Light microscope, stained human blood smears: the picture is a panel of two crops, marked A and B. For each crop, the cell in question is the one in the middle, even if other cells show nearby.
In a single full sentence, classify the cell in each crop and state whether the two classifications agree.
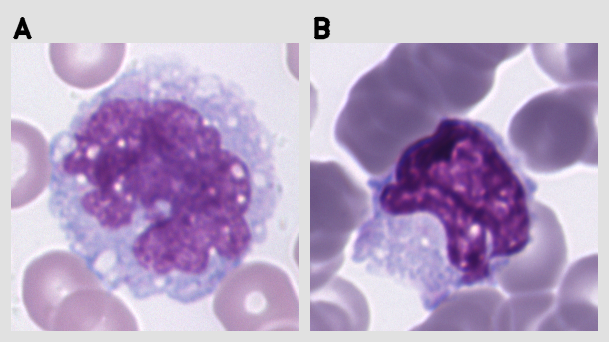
Yes, the middle cells in both crops are indeed monocytes.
